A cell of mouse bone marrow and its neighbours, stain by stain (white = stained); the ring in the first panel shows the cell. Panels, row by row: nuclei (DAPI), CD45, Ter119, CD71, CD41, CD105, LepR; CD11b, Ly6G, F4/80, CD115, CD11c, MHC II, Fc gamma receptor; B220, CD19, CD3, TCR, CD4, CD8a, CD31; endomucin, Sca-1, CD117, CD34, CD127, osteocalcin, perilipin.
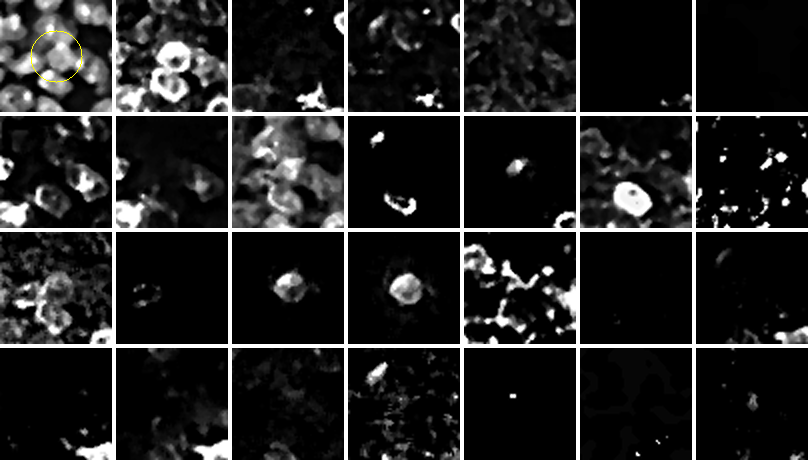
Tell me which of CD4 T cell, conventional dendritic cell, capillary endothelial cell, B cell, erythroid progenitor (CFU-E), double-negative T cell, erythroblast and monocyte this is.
The picture shows a double-negative T cell.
